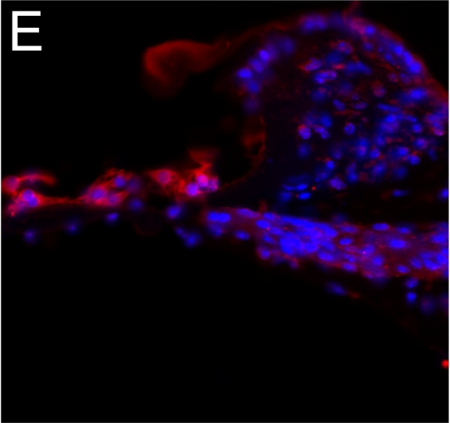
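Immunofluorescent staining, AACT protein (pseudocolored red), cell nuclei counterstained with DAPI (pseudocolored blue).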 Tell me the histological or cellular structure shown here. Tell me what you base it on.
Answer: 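Organ of Corti. A red-rimmed flap projects above the cluster at upper left.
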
